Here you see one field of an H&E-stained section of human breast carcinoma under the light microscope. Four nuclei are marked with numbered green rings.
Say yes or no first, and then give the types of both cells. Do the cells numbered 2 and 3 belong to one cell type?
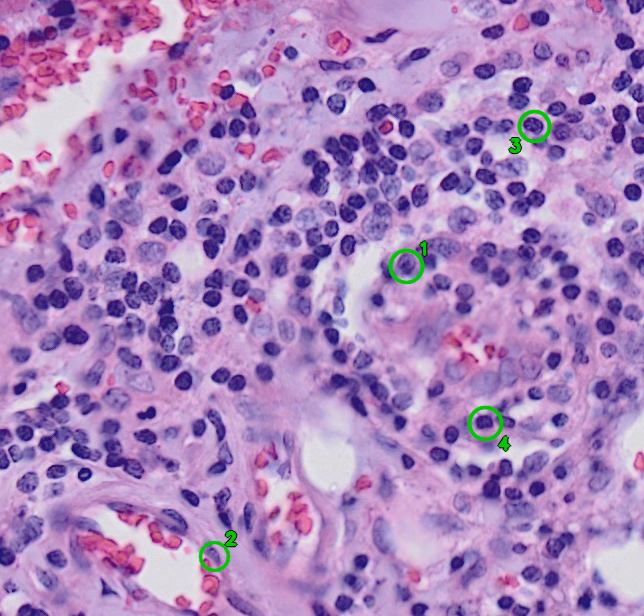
No, cell 2 is an endothelial cell and cell 3 is a lymphocyte.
